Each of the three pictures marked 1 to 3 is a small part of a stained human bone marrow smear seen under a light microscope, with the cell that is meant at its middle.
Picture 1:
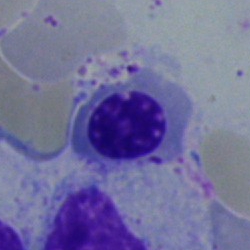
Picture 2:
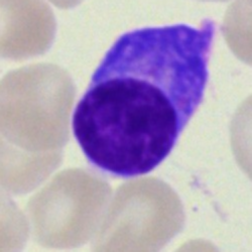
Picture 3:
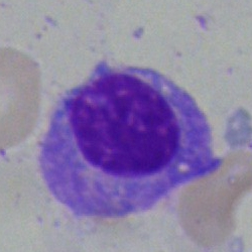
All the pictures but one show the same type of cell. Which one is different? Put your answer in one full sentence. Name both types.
Picture 1 is the odd one out: it shows an erythroblast, while the others show plasma cells.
